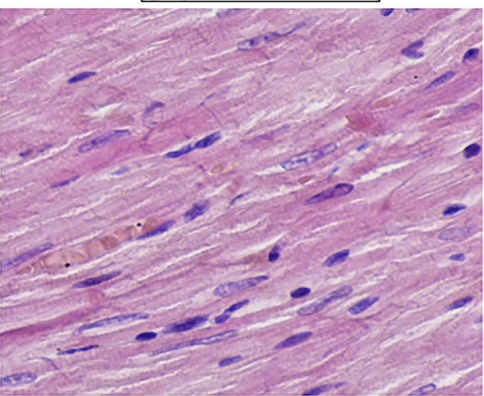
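Longitudinally cut cardiac muscle with cardiomyocytes running in closely packed, parallel, pink fibres. Elongated, purple-blue nuclei lie centrally along the fibres. Only thin slit-like spaces separate neighbouring fibres. A few small vessels with orange-red contents run between the fibres.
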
